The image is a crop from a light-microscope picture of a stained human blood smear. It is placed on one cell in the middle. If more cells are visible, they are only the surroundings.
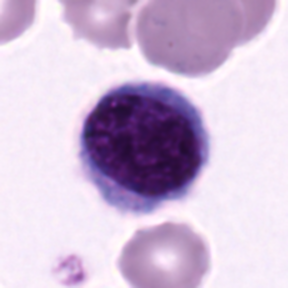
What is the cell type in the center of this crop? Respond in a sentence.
The cell occupying the middle of the crop is a plasma cell.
